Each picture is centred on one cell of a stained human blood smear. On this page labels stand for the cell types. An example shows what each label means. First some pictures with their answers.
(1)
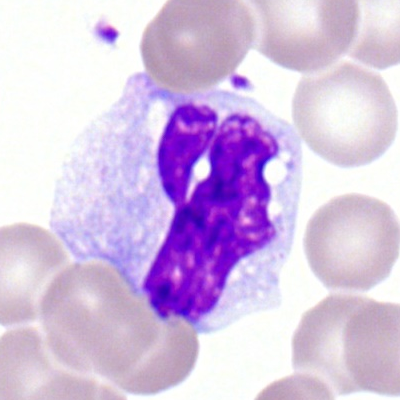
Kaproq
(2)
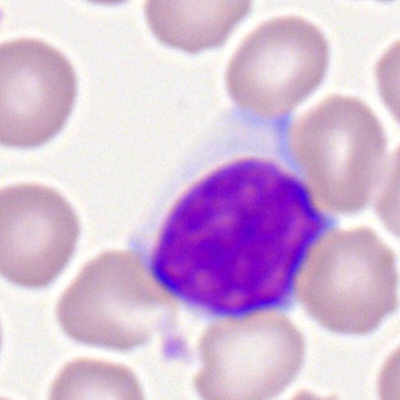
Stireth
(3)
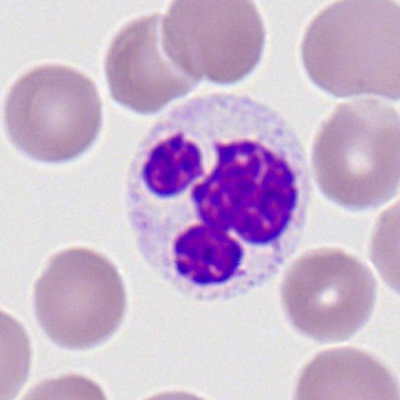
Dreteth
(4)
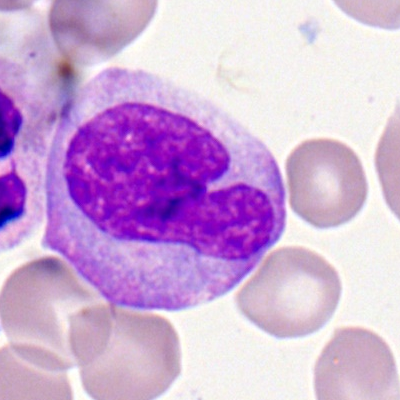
Kaproq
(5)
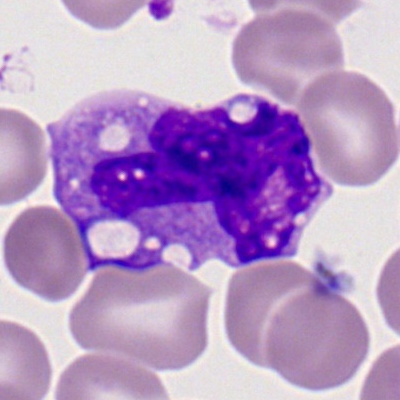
Kaproq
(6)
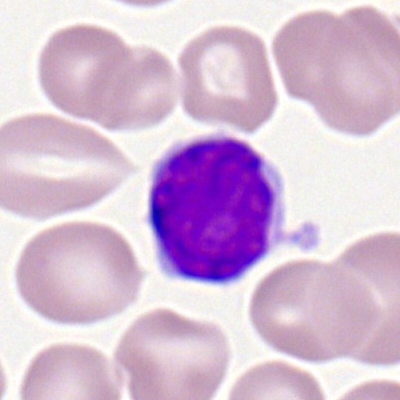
Stireth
